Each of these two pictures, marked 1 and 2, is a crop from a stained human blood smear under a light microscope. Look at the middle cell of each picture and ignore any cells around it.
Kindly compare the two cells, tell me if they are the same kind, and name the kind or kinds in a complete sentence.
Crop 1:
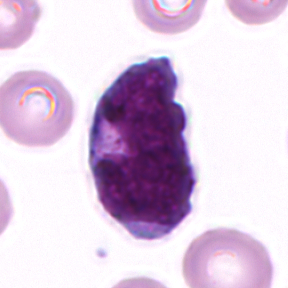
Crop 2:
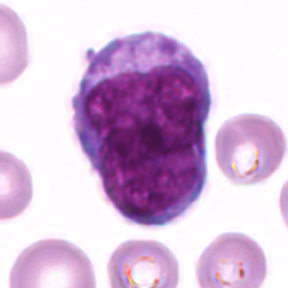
Yes, atypical promyelocytes are present at the centre of both crops.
